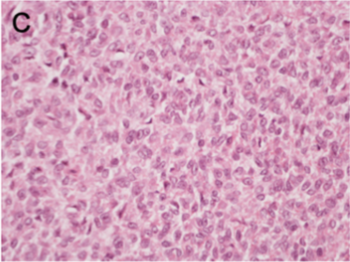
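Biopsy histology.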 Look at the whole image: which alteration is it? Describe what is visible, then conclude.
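Malignant round cell tumour. Sheets of densely packed cells without glandular or other organised architecture. Nuclei vary somewhat in size and shape.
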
